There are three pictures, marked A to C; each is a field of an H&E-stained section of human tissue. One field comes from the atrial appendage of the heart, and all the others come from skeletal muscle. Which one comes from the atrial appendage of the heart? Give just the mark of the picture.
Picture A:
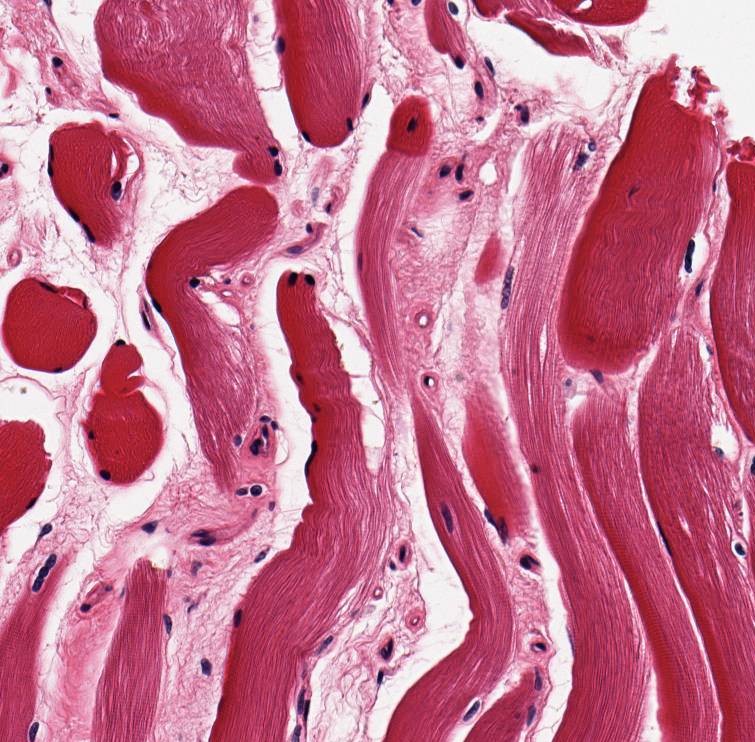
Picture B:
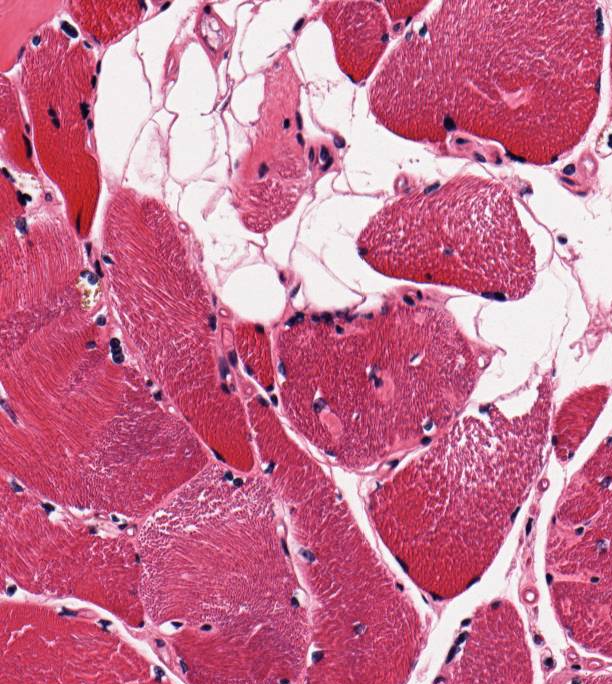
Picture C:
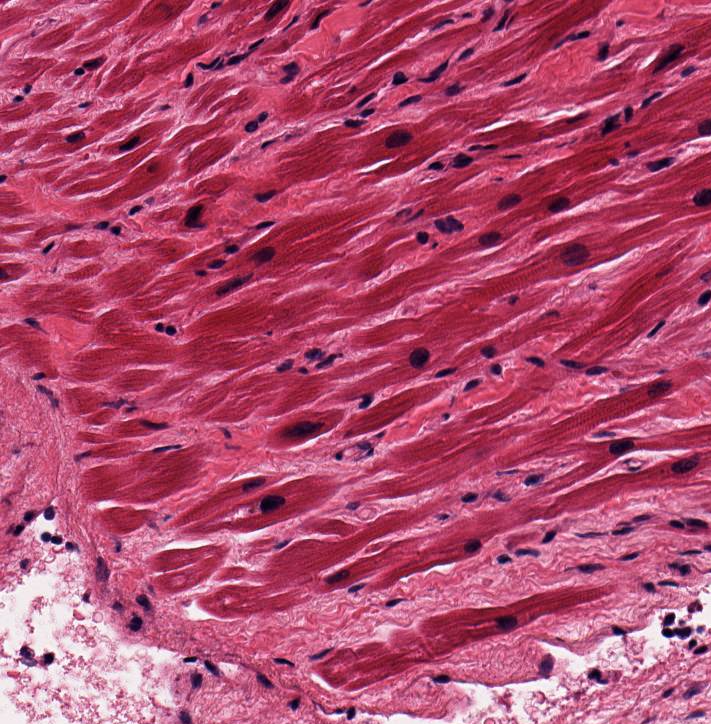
C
